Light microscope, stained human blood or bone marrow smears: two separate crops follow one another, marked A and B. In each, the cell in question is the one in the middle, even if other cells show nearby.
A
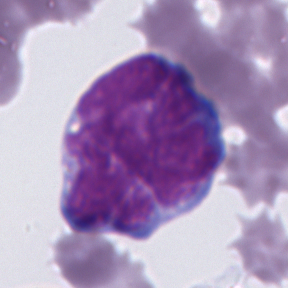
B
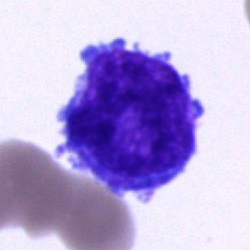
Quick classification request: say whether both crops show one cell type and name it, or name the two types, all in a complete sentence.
Yes, the middle cells in the two crops are blasts.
